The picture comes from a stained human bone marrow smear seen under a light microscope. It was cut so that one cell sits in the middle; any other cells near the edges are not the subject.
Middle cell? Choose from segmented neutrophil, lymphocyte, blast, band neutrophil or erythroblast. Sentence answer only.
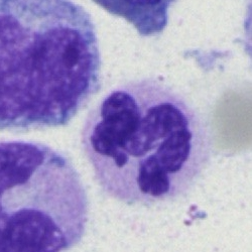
In the crop, the cell of interest at the centre is a segmented neutrophil.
